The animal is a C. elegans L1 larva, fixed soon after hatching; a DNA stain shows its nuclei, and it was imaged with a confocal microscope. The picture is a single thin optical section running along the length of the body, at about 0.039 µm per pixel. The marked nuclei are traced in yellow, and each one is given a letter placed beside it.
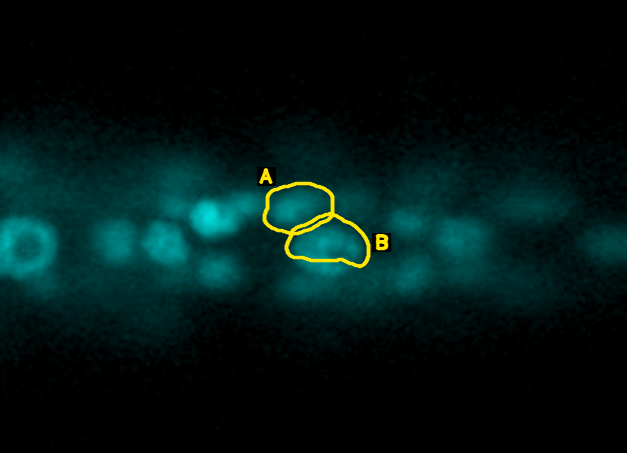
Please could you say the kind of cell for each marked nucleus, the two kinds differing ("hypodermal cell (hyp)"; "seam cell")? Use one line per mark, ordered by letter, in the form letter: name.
A: hypodermal cell (hyp)
B: seam cell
